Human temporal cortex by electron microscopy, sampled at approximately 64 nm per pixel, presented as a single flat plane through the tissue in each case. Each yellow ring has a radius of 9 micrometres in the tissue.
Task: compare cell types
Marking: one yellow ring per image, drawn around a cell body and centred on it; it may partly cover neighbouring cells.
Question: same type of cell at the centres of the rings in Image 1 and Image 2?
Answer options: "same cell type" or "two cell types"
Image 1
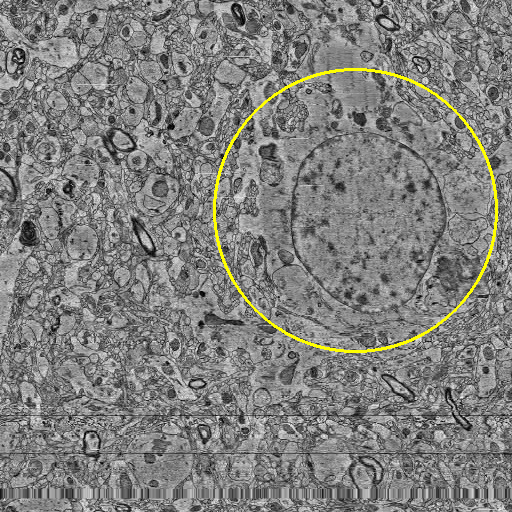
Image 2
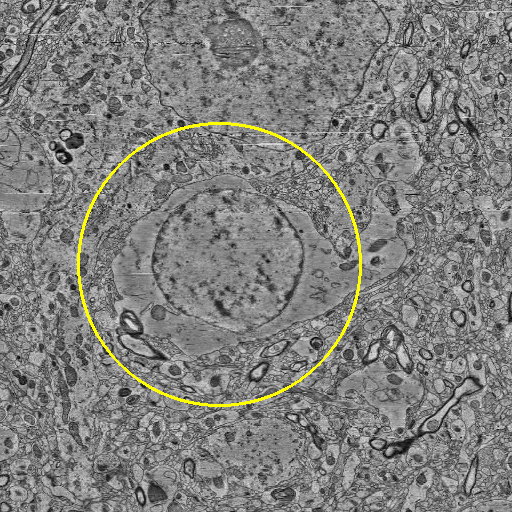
same cell type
